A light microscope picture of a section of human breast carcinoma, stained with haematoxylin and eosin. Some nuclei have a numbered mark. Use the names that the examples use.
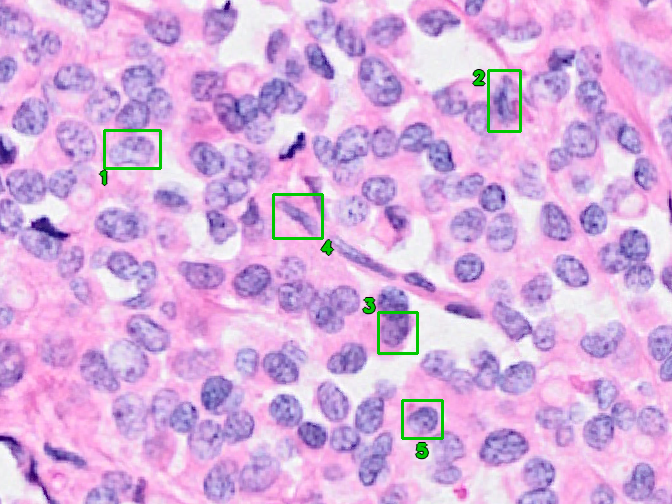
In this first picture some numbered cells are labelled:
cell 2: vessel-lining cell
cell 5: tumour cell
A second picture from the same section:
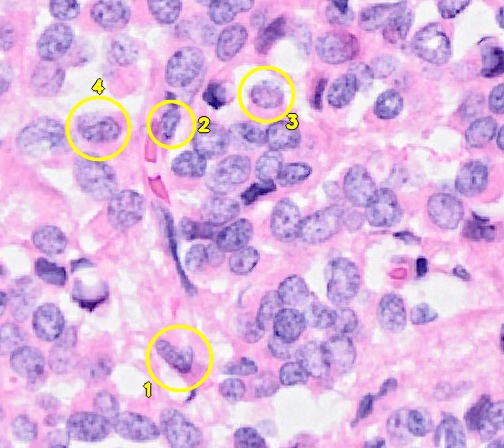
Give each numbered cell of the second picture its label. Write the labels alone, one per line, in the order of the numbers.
vessel-lining cell
vessel-lining cell
tumour cell
tumour cell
